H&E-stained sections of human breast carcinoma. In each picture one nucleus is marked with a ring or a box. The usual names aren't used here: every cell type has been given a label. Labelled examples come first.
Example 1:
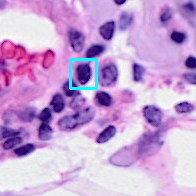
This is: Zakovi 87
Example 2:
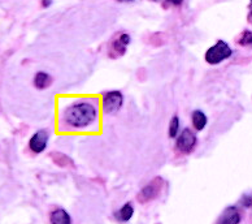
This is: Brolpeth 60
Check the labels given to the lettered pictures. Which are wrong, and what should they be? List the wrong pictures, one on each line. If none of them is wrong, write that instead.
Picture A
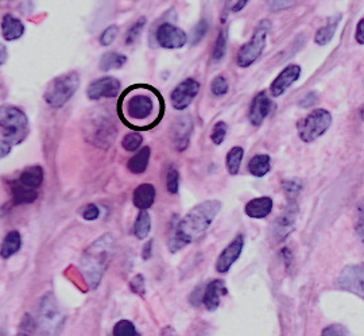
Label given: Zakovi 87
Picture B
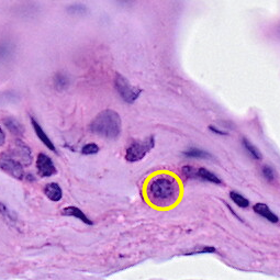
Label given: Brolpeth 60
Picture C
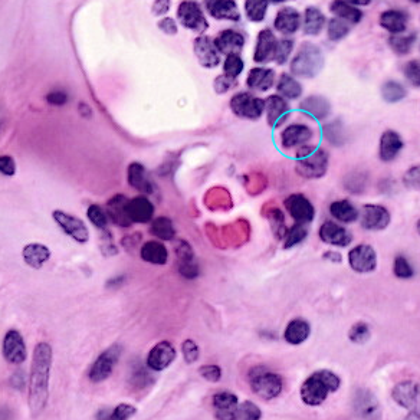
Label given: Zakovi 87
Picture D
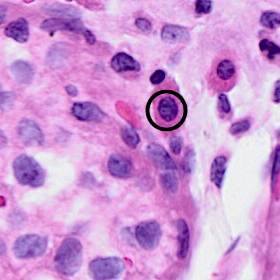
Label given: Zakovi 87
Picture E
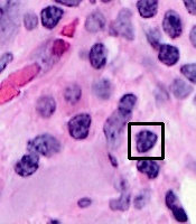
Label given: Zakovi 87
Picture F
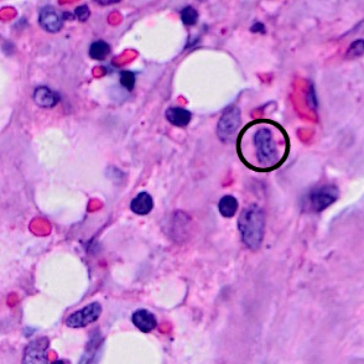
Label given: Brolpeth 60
D: not Zakovi 87 but Brolpeth 60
